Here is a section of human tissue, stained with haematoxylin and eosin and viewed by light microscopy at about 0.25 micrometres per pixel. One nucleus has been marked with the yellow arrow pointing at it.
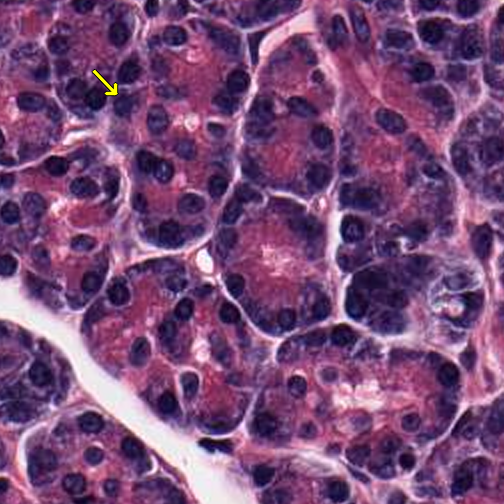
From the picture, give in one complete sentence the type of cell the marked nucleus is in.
Singled out by the mark is the nucleus of a pancreatic acinar cell.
